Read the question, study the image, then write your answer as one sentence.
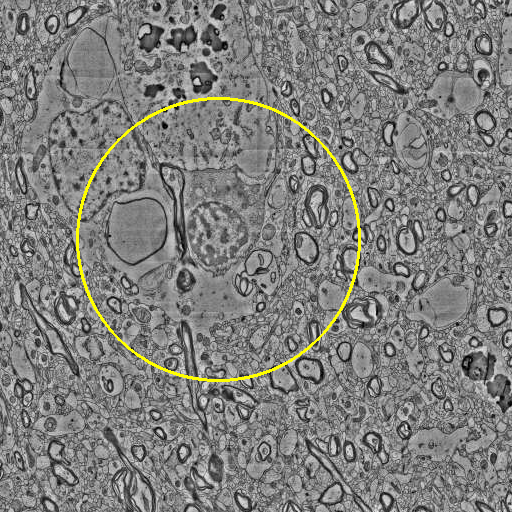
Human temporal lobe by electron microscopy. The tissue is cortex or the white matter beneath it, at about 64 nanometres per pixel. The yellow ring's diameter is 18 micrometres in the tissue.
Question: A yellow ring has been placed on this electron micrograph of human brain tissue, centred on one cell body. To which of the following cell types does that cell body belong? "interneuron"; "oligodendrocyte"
That cell body belongs to an oligodendrocyte.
